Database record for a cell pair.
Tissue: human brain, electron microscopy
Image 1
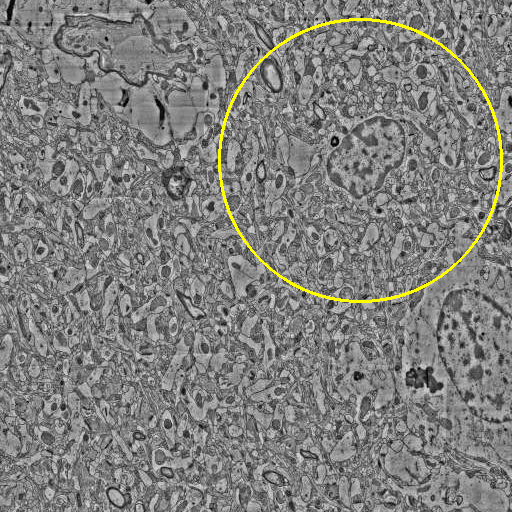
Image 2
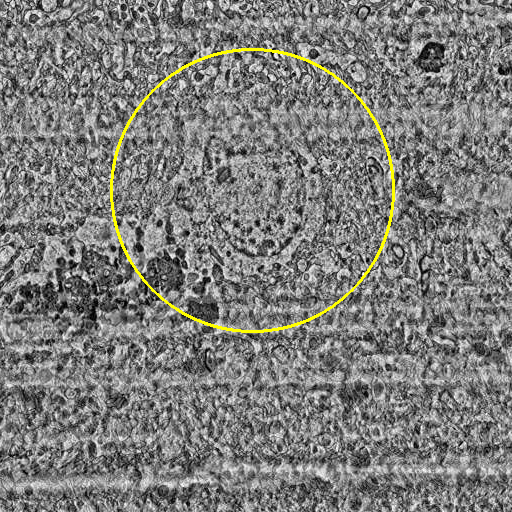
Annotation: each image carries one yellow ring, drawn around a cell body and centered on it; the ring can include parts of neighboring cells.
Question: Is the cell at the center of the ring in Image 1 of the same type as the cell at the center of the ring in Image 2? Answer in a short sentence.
No, the cells are of two types.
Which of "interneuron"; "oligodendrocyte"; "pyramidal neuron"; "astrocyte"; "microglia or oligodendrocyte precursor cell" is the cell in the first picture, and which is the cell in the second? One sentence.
The two differ: the first cell is a microglial cell or oligodendrocyte precursor cell and the second is an astrocyte.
